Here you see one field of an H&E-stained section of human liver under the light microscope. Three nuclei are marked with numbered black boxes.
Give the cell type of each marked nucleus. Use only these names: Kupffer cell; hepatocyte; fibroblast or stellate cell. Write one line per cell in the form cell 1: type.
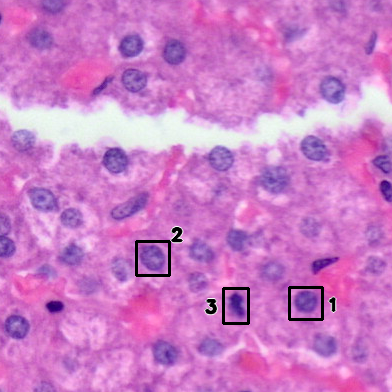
cell 1: hepatocyte
cell 2: hepatocyte
cell 3: fibroblast or stellate cell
